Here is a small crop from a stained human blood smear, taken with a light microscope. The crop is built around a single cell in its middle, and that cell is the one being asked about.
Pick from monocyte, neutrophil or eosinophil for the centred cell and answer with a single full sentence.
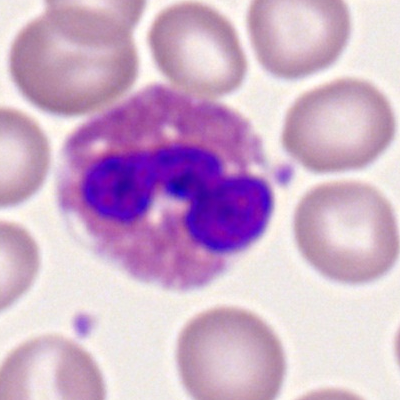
This crop has an eosinophil at its centre.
